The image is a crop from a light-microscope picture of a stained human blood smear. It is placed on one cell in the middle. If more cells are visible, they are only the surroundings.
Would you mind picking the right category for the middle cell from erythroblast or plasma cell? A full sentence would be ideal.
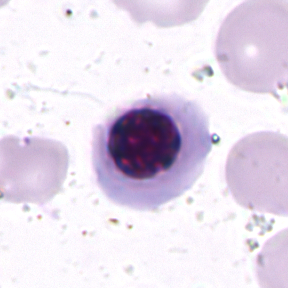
For this crop, the central cell is an erythroblast.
